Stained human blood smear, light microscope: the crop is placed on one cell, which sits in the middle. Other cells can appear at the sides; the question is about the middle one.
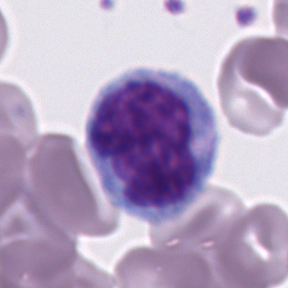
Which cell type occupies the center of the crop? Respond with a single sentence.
At the crop's centre, the cell is a monocyte.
